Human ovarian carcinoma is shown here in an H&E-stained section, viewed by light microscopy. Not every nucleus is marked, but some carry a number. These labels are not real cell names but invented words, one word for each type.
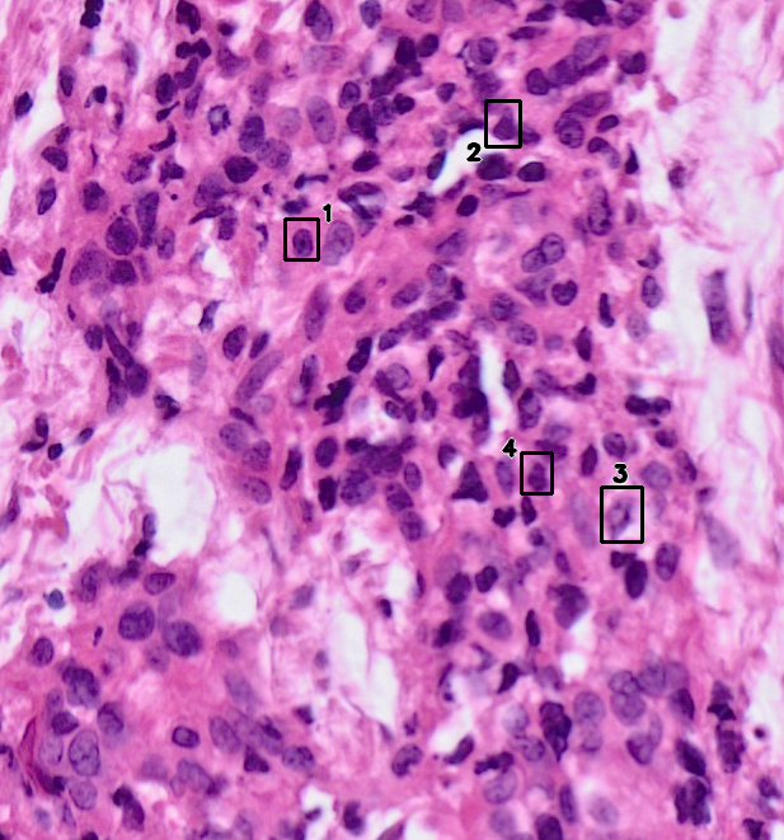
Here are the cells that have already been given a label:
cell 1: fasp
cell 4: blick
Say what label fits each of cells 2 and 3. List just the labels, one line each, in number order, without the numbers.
blick
fasp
